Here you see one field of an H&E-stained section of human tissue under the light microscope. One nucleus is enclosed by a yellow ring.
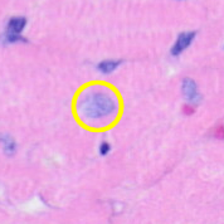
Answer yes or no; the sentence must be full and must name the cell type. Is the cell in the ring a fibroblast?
No, the cell in the ring is not to be called a fibroblast; it is a cardiomyocyte.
